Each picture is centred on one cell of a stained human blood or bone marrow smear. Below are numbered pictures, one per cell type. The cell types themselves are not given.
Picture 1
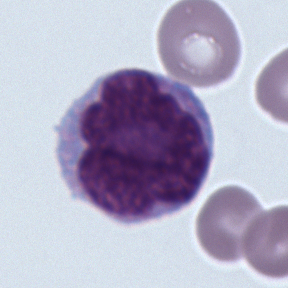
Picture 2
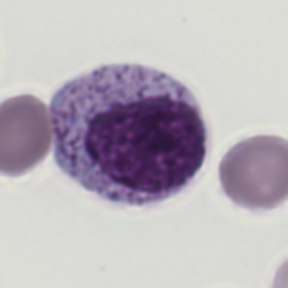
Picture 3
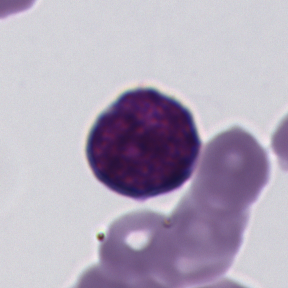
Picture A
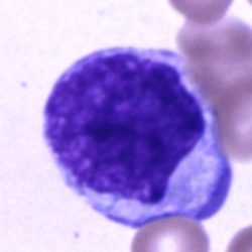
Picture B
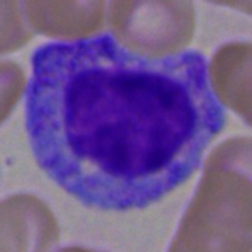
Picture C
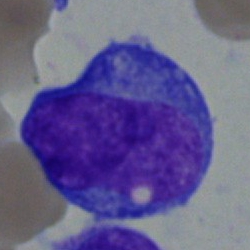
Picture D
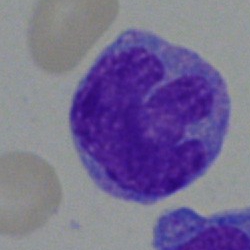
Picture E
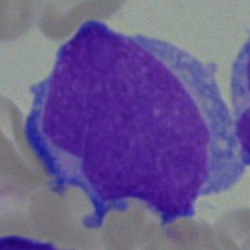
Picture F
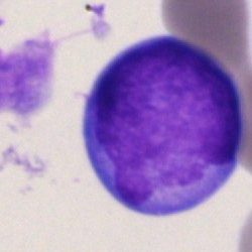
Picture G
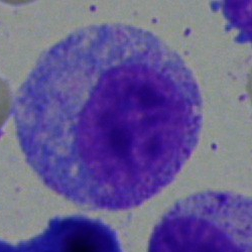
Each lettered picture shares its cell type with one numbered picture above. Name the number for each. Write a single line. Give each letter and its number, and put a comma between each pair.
A 3, B 2, C 3, D 1, E 3, F 3, G 2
